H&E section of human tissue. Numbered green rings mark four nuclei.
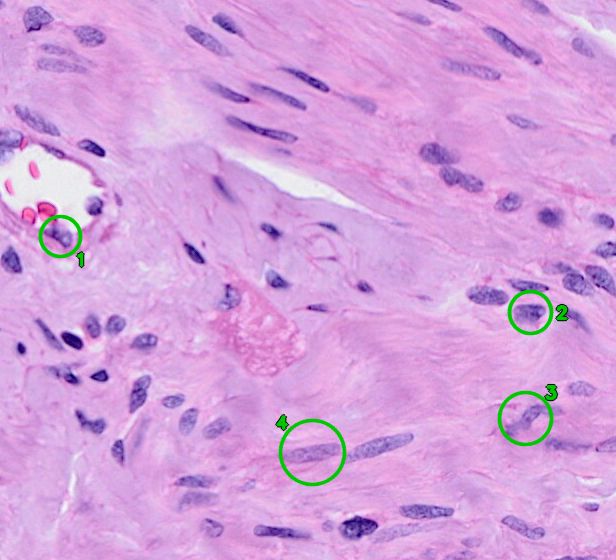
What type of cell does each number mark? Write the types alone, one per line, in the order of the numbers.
endothelial cell
fibroblast
fibroblast
smooth muscle cell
